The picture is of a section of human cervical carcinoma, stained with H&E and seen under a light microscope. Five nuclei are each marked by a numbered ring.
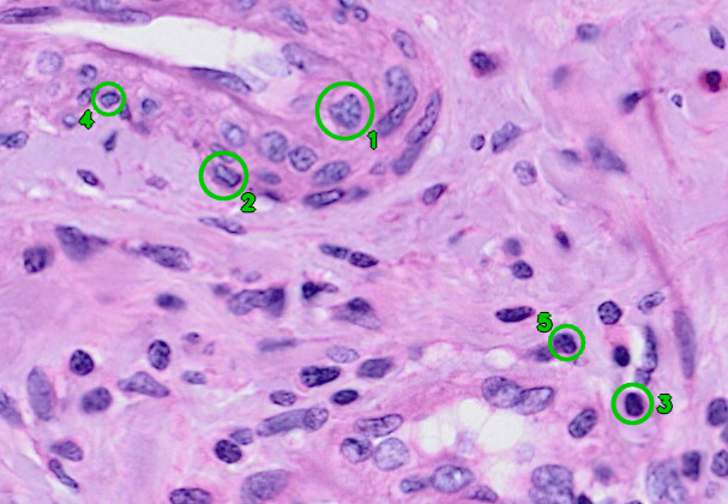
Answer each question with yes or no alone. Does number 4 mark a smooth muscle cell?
yes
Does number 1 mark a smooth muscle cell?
yes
